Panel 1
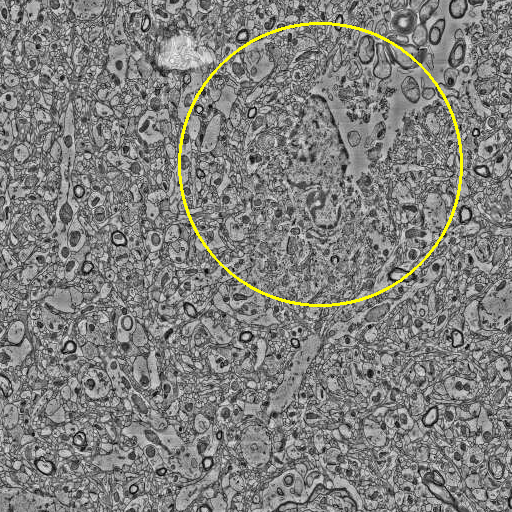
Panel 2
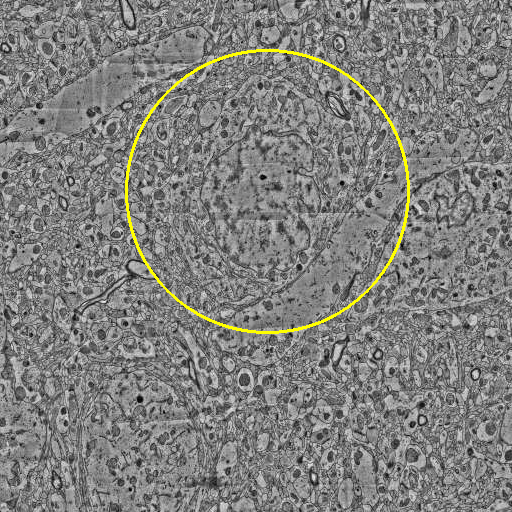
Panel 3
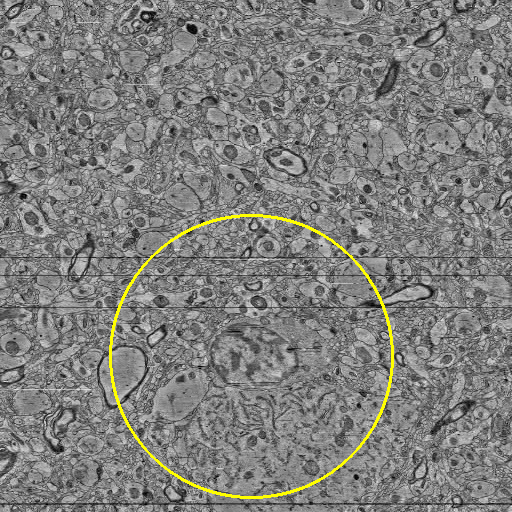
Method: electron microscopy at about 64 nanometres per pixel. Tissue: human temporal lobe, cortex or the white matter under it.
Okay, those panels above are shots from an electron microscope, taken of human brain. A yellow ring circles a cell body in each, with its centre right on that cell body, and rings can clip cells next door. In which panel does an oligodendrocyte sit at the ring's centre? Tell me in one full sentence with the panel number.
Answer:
The cell you asked for sits at the ring's centre in panel 3.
